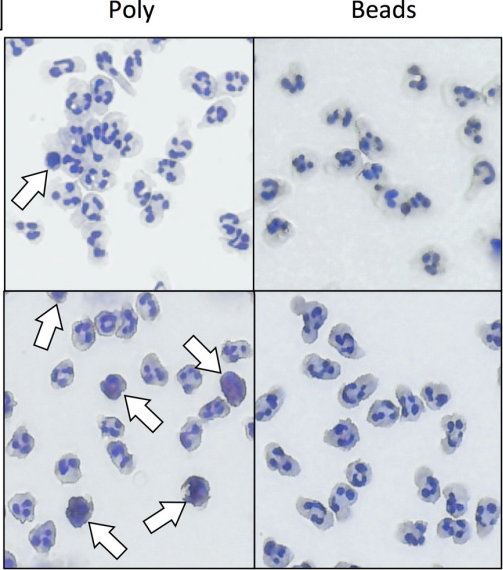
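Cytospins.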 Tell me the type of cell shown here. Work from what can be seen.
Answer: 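Most cells have nuclei split into several dark blue lobes. The cells have pale, lightly stained cytoplasm.
Conclusion: Neutrophil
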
